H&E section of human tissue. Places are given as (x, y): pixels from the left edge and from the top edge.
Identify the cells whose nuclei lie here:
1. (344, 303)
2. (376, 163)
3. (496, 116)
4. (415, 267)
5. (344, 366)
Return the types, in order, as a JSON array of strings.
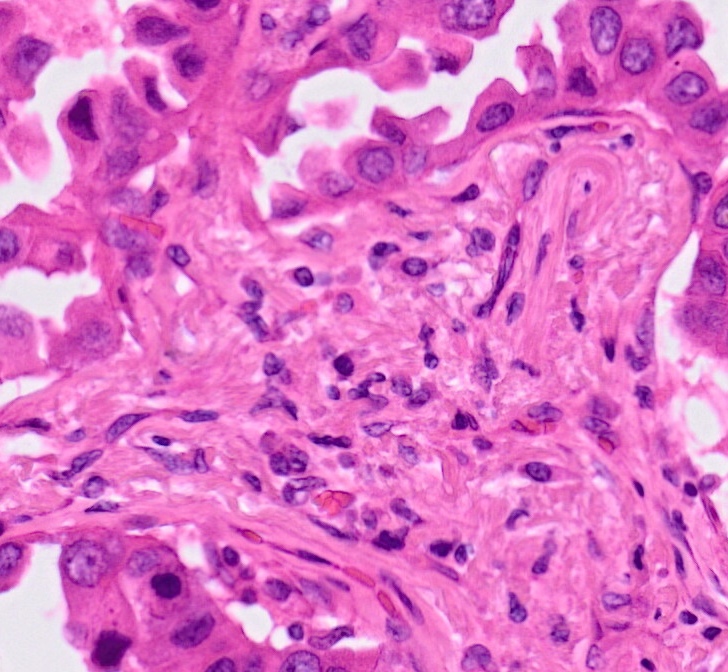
["mast cell", "carcinoma cell", "carcinoma cell", "plasma cell", "plasma cell"]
